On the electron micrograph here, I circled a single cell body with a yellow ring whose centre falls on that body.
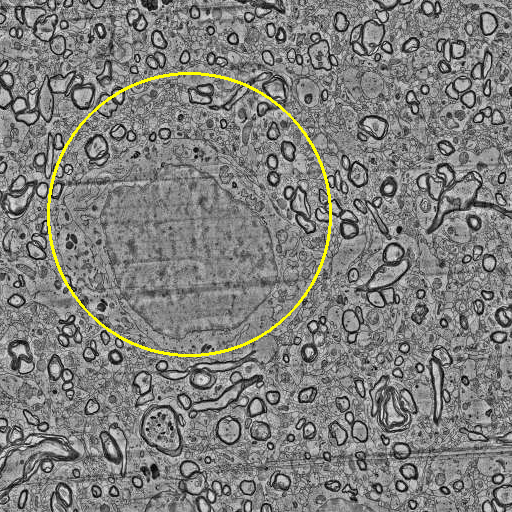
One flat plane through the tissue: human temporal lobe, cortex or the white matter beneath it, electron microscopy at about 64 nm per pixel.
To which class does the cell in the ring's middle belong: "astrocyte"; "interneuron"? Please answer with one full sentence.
In this picture, the cell body circled at the ring's centre belongs to an interneuron.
